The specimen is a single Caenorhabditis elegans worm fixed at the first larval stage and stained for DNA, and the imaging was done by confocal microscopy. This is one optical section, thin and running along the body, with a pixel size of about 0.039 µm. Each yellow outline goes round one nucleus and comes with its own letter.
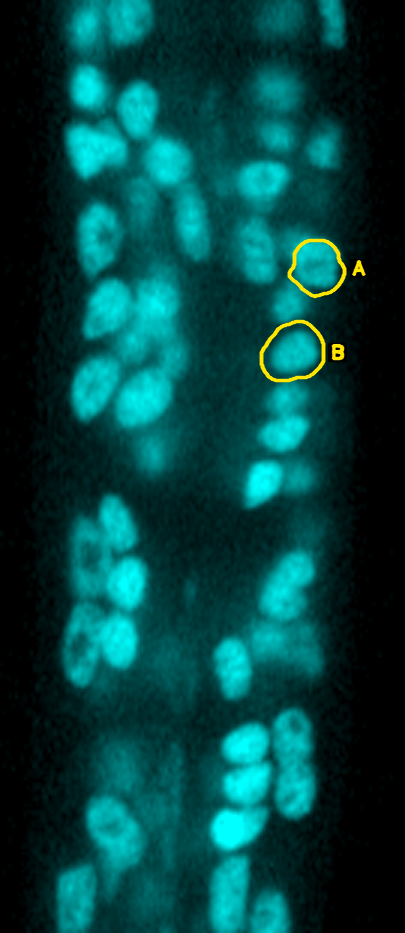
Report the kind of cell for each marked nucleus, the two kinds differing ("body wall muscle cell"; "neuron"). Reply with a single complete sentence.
A is the nucleus of a body wall muscle cell; B is the nucleus of a neuron.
